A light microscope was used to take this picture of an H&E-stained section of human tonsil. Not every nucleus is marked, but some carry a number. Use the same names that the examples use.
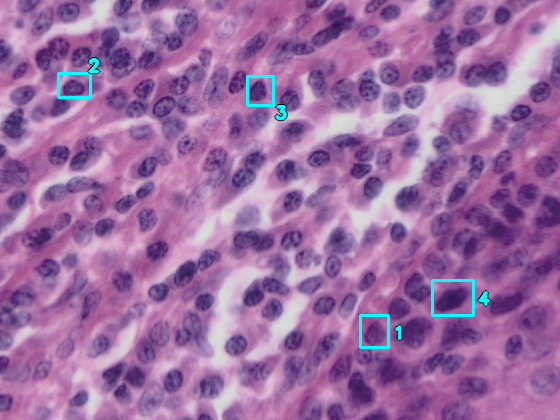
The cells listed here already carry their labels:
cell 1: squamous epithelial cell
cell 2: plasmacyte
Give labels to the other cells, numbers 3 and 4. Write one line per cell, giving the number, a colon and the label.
3: plasmacyte
4: squamous epithelial cell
